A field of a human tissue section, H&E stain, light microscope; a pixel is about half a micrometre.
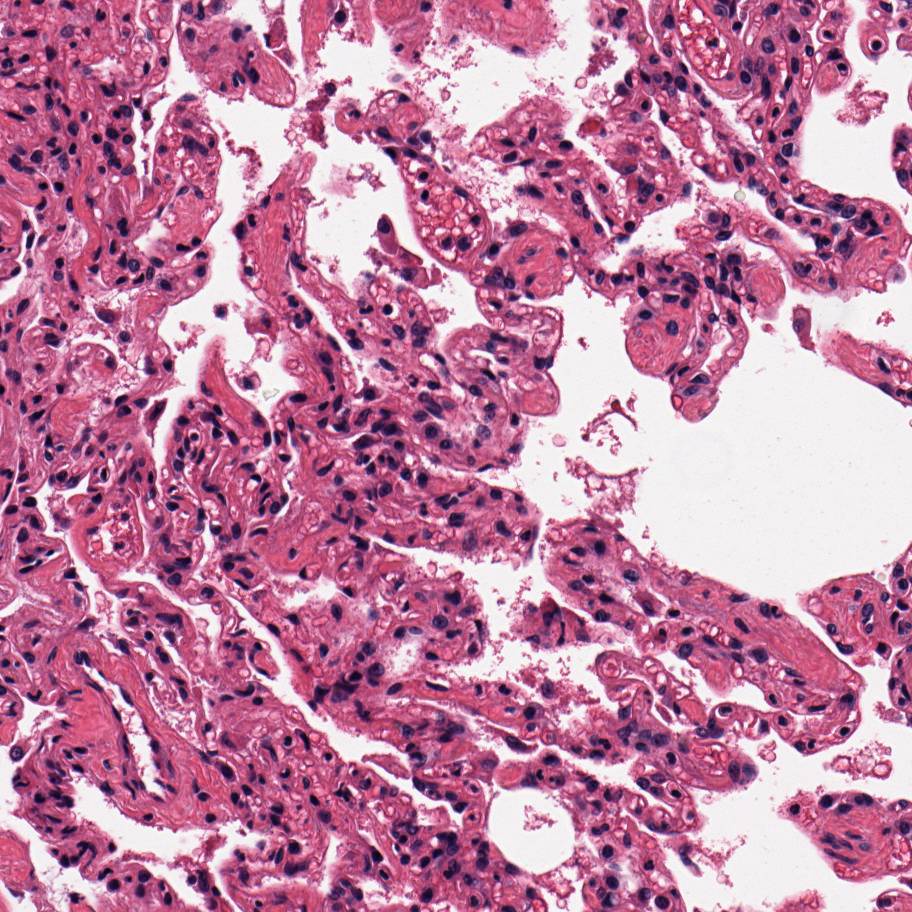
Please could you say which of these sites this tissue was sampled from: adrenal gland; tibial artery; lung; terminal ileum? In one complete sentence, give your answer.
The section was made from a sample of the lung.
